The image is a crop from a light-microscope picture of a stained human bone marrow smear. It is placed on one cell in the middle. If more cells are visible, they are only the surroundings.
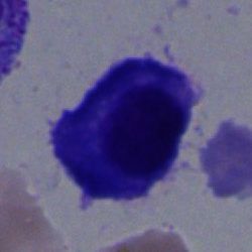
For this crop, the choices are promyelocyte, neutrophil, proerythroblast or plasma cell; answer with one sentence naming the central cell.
Occupying the centre of the crop is a plasma cell.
